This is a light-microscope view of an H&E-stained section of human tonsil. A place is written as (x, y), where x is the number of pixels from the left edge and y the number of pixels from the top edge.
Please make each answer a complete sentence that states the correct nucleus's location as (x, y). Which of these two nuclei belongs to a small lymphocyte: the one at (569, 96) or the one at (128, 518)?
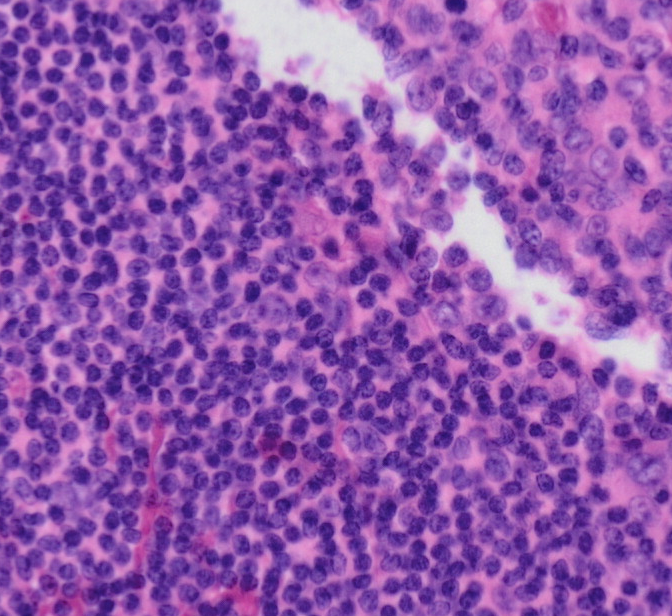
The nucleus at (128, 518) is the member of the pair belonging to a small lymphocyte.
